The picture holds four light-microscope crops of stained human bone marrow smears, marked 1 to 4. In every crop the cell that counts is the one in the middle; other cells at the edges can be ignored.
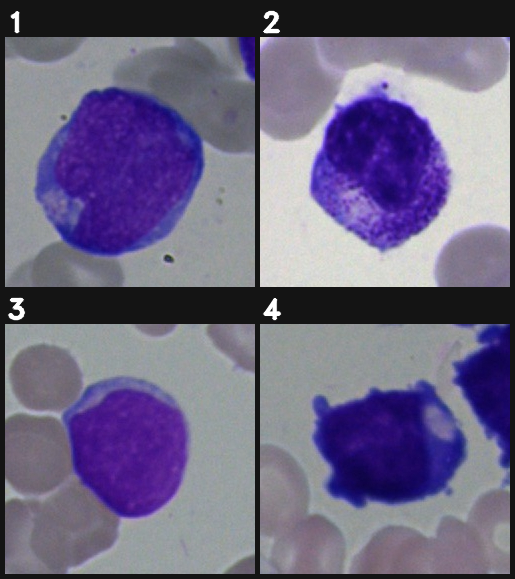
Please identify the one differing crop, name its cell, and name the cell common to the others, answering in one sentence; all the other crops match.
Crop 2 differs from the others in showing a myelocyte; the rest all show blasts.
